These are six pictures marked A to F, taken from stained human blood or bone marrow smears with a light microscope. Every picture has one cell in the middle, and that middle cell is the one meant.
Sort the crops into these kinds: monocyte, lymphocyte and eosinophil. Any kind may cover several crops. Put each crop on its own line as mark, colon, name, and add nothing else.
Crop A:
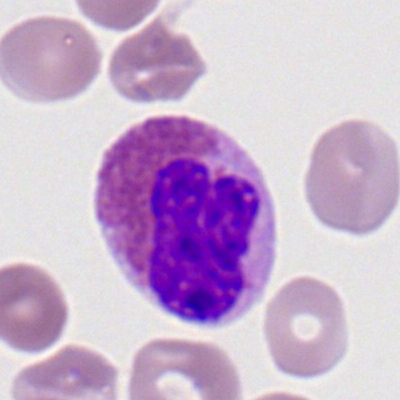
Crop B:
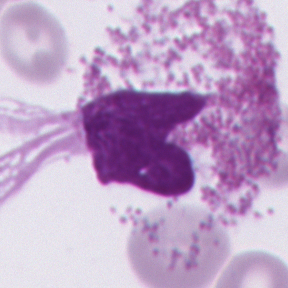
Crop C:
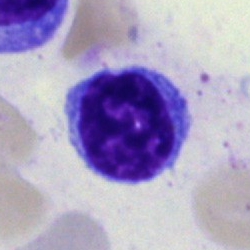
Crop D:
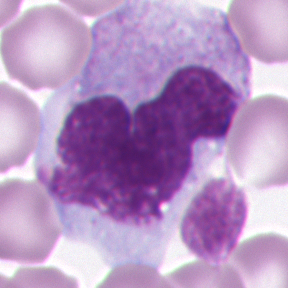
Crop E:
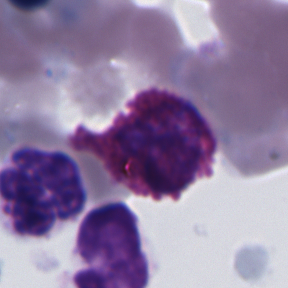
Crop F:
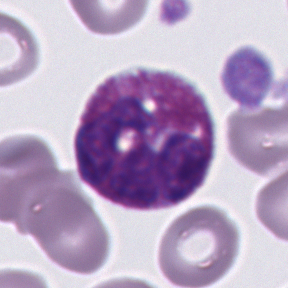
A: eosinophil
B: eosinophil
C: lymphocyte
D: monocyte
E: eosinophil
F: eosinophil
